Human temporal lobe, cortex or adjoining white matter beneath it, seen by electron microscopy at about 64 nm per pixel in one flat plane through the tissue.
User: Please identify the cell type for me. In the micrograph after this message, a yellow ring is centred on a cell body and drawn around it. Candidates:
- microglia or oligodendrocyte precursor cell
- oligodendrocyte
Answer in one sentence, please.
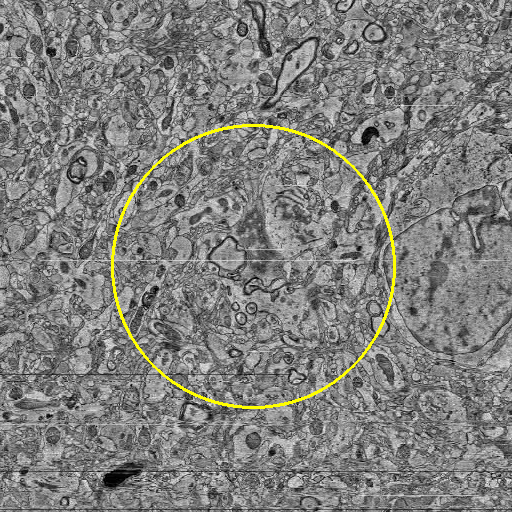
The ring is drawn around the cell body of an oligodendrocyte.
